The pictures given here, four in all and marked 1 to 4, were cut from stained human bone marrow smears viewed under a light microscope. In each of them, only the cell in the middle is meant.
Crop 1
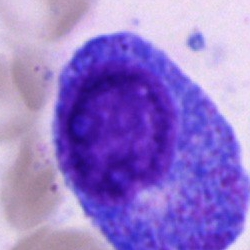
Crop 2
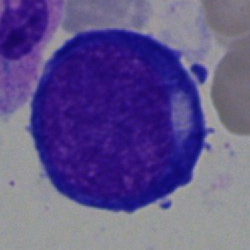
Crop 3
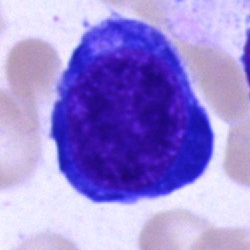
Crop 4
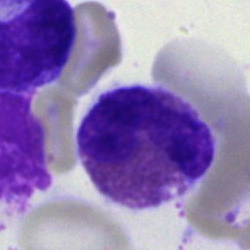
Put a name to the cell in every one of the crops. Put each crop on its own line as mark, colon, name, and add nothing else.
1: promyelocyte
2: proerythroblast
3: proerythroblast
4: eosinophil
